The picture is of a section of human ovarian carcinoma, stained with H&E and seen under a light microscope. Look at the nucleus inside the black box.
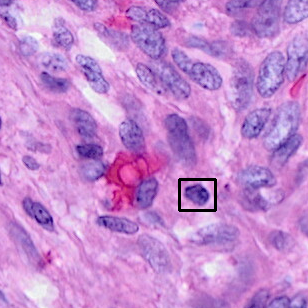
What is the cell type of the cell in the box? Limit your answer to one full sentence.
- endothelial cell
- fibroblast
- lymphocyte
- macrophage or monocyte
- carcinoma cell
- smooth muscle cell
The correct response here is that the cell in the box is a lymphocyte.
